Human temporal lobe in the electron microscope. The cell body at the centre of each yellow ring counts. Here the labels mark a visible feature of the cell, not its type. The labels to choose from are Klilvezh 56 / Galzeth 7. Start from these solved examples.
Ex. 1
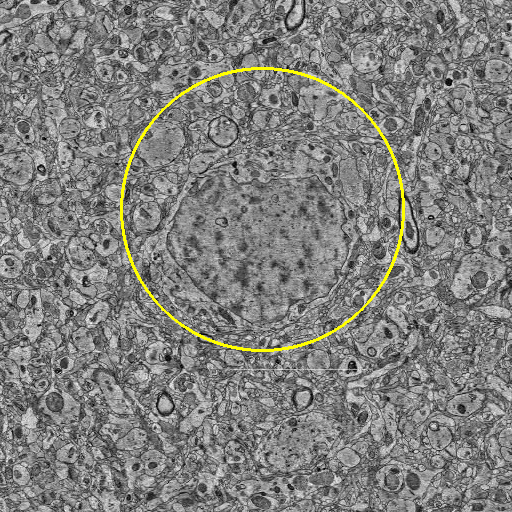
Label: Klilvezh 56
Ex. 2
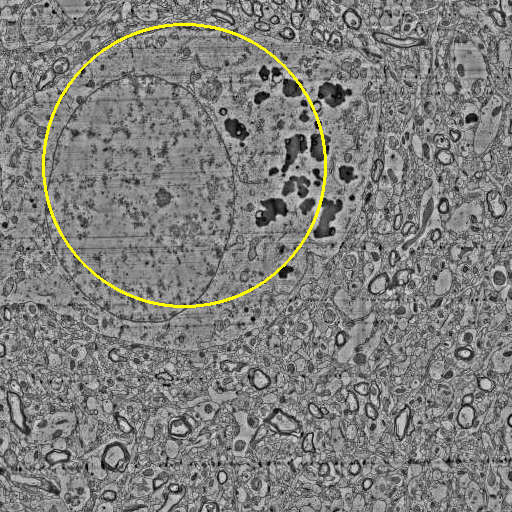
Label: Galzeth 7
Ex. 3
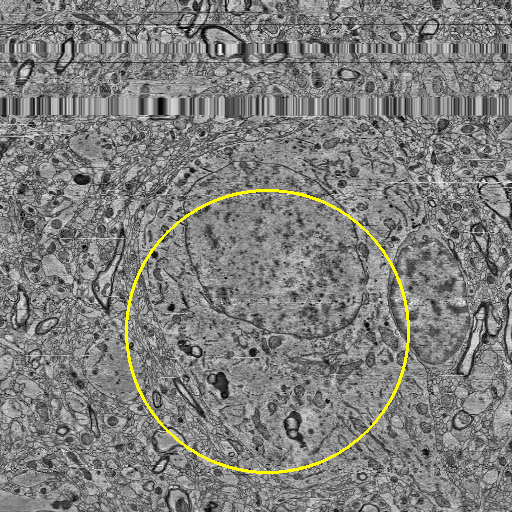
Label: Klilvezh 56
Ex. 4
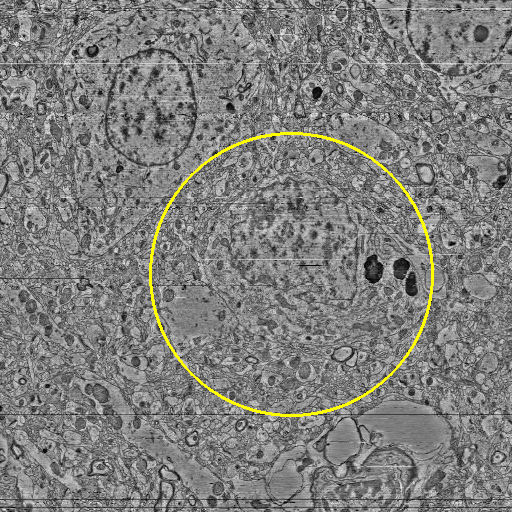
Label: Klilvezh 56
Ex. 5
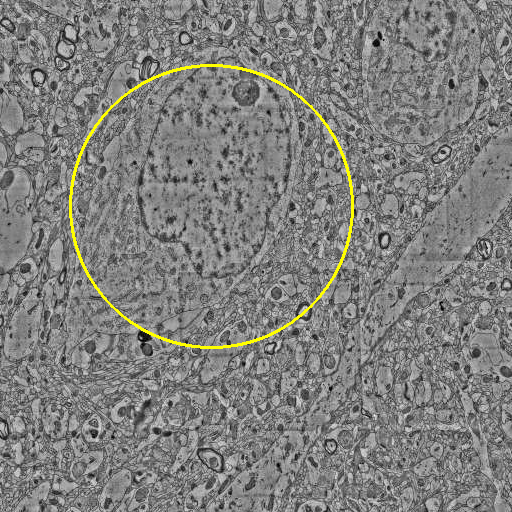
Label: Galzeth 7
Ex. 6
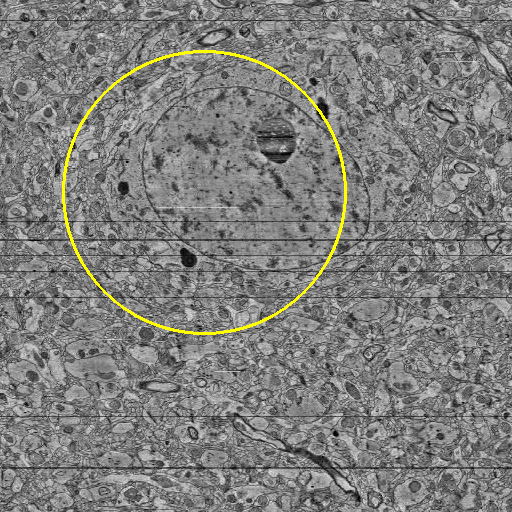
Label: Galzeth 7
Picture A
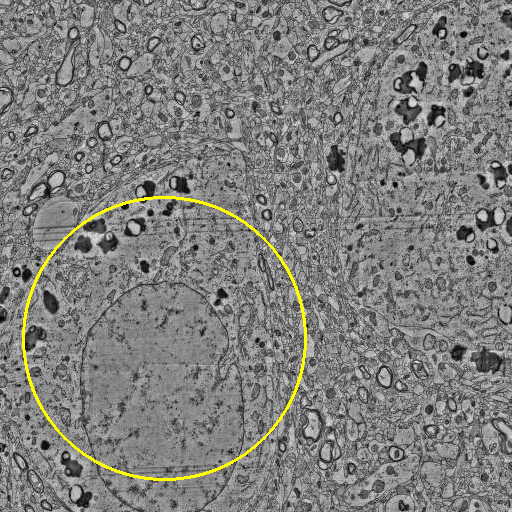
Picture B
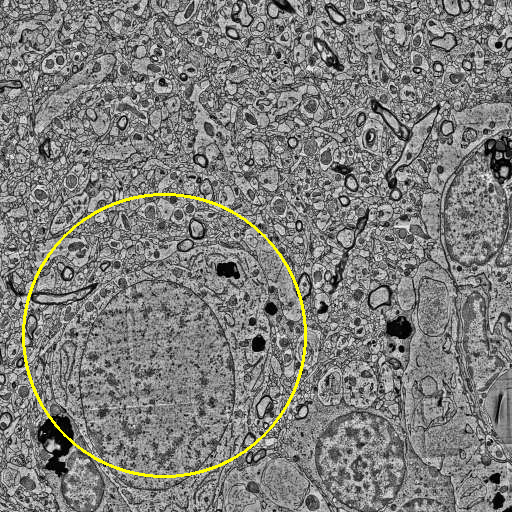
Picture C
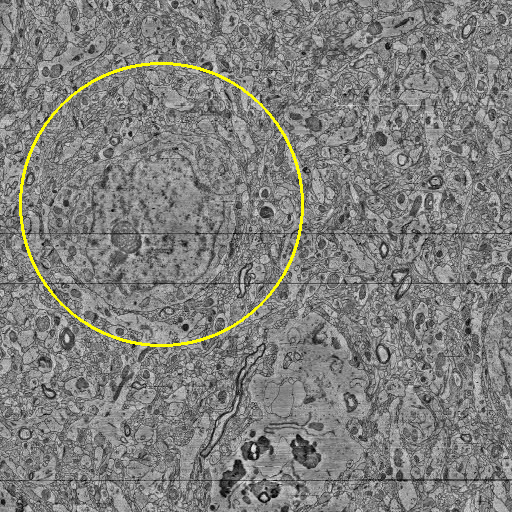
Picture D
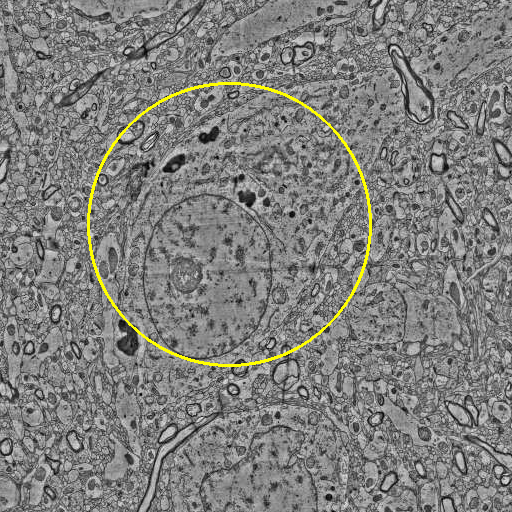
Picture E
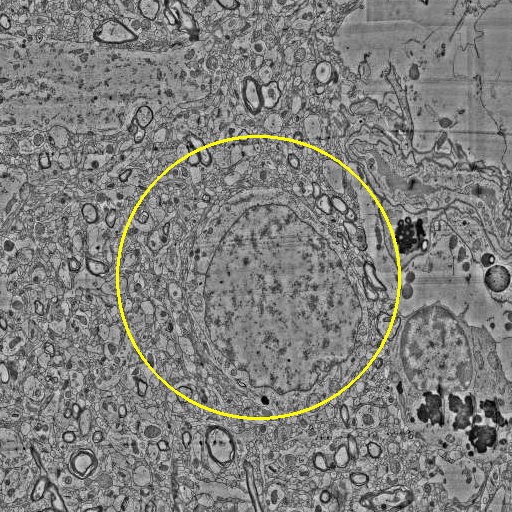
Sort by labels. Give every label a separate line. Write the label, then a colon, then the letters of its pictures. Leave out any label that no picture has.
Klilvezh 56: A, B, E
Galzeth 7: C, D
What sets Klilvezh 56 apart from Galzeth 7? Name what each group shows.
Klilvezh 56: no nucleolus seen; Galzeth 7: nucleolus seen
